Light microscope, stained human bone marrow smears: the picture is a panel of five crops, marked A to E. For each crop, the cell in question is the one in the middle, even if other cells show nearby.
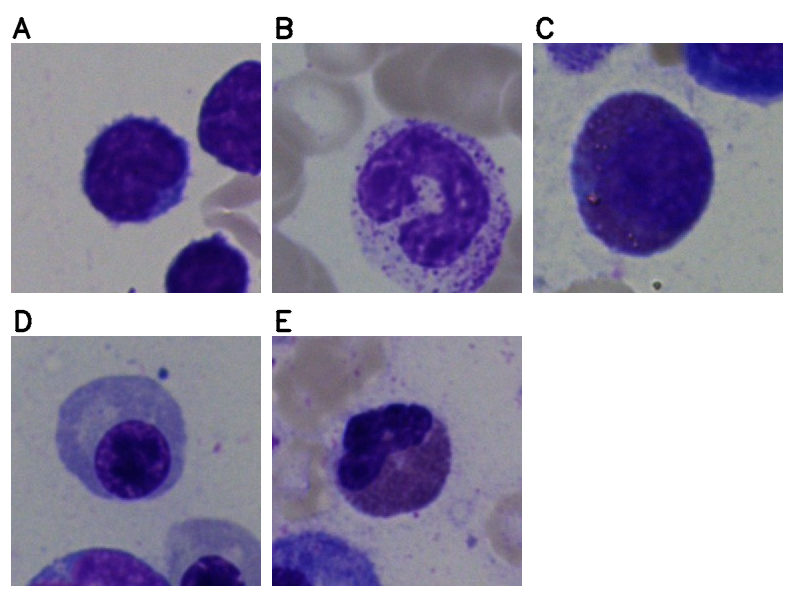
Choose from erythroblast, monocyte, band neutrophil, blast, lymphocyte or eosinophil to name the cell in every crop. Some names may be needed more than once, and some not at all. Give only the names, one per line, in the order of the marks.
blast
band neutrophil
eosinophil
erythroblast
eosinophil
